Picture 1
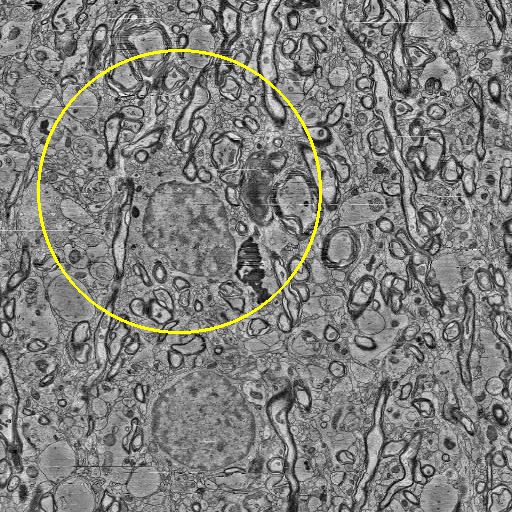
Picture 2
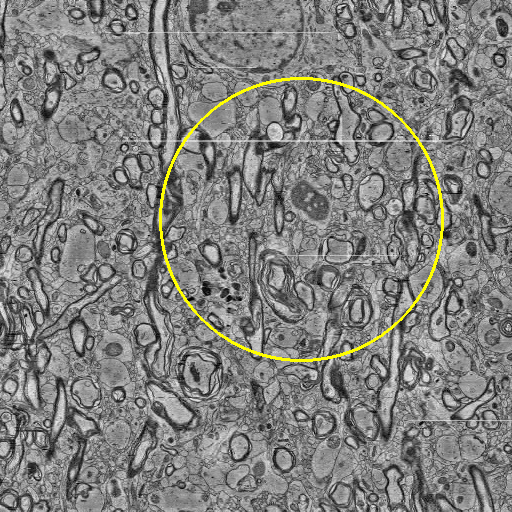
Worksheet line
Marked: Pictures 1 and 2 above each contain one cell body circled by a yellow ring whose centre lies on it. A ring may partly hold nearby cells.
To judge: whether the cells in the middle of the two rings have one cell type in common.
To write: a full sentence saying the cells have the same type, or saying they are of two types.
The cells in the middle of the rings in Picture 1 and Picture 2 are of two types.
